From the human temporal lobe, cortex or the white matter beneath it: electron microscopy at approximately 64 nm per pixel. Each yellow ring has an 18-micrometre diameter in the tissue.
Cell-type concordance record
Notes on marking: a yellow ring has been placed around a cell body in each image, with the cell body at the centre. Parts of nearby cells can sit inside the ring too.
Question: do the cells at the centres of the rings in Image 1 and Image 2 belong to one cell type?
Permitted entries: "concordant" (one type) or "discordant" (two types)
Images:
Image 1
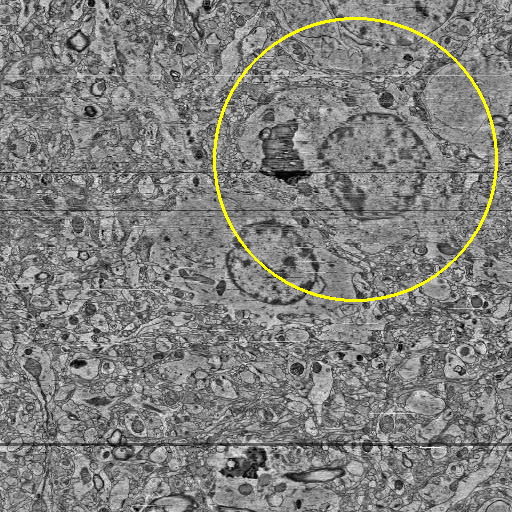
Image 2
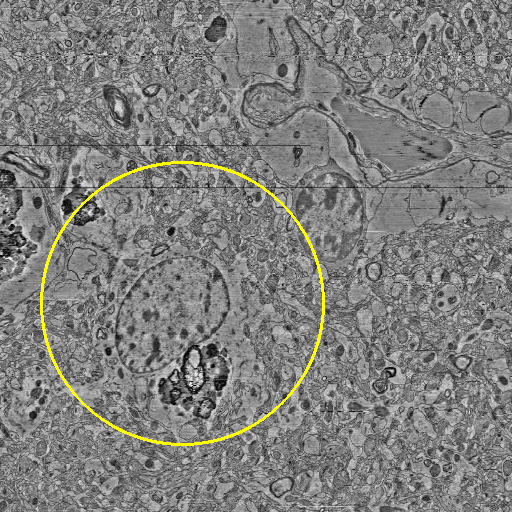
concordant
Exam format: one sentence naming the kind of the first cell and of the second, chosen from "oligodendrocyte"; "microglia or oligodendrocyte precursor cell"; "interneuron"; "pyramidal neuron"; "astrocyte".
Each of the two pictures has an astrocyte at the ring centre.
